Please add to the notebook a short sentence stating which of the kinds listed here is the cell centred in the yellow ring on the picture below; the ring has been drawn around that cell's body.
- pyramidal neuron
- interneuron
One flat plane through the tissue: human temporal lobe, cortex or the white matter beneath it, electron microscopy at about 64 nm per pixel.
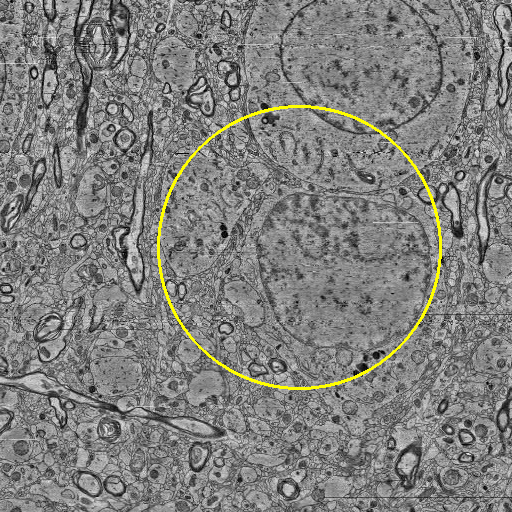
The cell centred in the yellow ring is an interneuron.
